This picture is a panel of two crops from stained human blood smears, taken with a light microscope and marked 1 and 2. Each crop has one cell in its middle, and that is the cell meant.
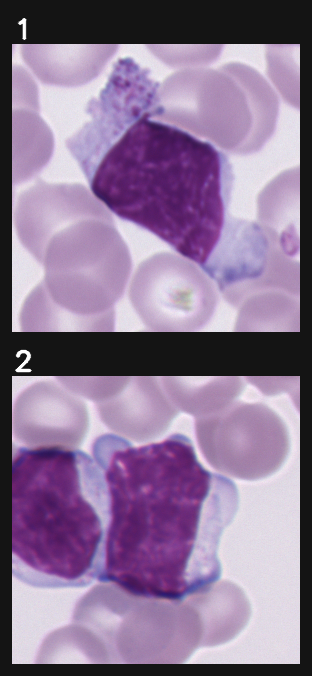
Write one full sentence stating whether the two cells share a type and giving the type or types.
Yes, in short, both crops show large granular lymphocytes.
